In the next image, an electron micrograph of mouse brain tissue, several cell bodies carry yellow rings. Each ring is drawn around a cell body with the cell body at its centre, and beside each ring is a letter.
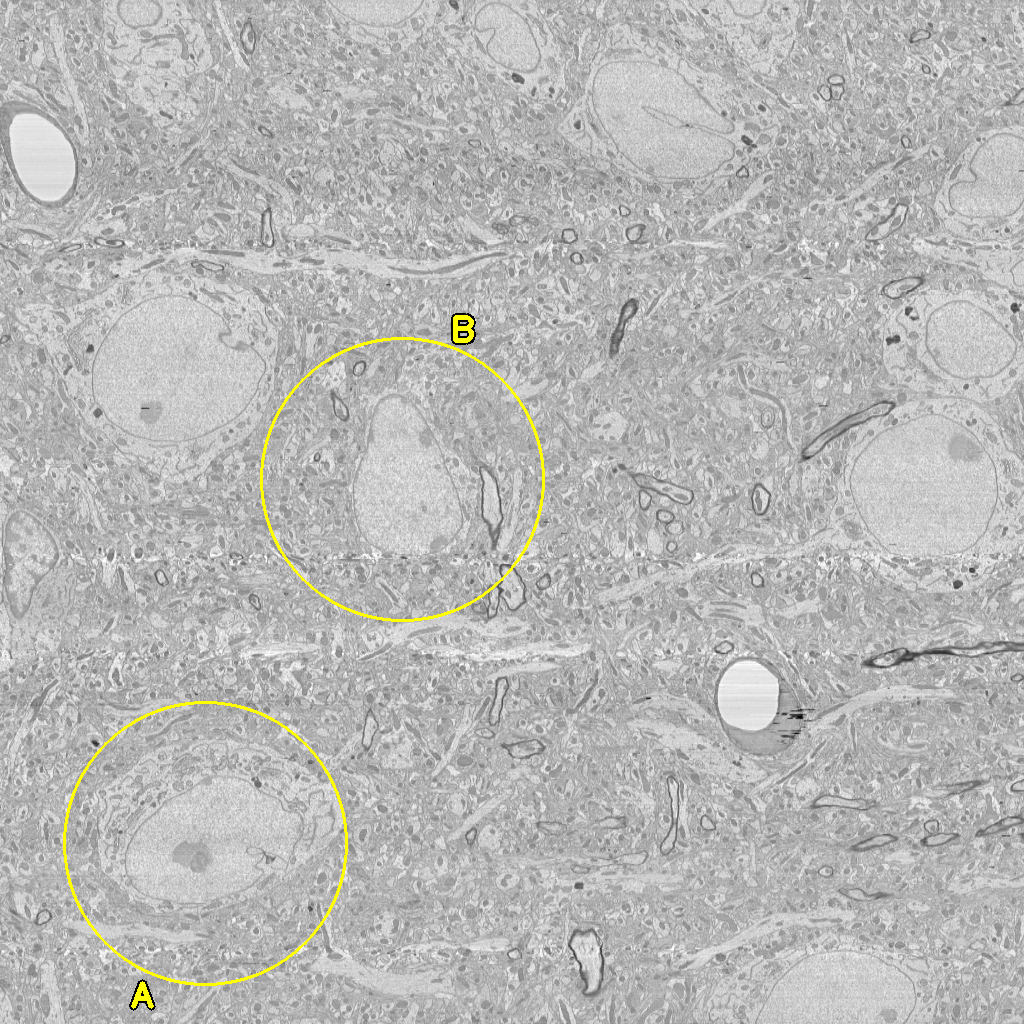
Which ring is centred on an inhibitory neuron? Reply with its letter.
A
